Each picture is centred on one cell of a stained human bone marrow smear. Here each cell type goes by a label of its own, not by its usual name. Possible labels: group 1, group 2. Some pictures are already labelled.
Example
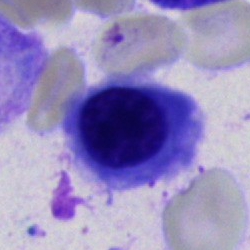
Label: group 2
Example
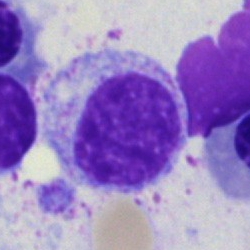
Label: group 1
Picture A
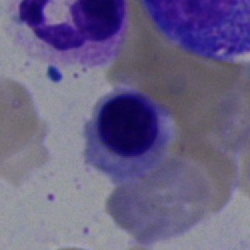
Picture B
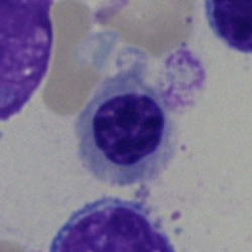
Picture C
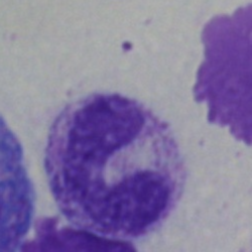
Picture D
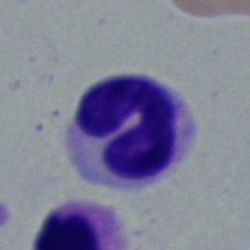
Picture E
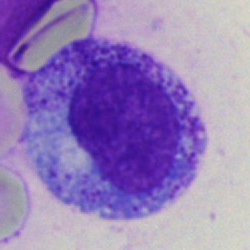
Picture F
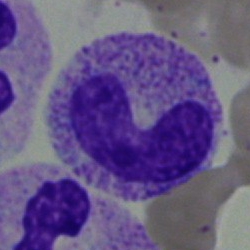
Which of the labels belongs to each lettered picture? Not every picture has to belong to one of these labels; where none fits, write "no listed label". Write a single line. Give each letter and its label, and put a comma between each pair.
A group 2, B group 2, C no listed label, D no listed label, E group 1, F no listed label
